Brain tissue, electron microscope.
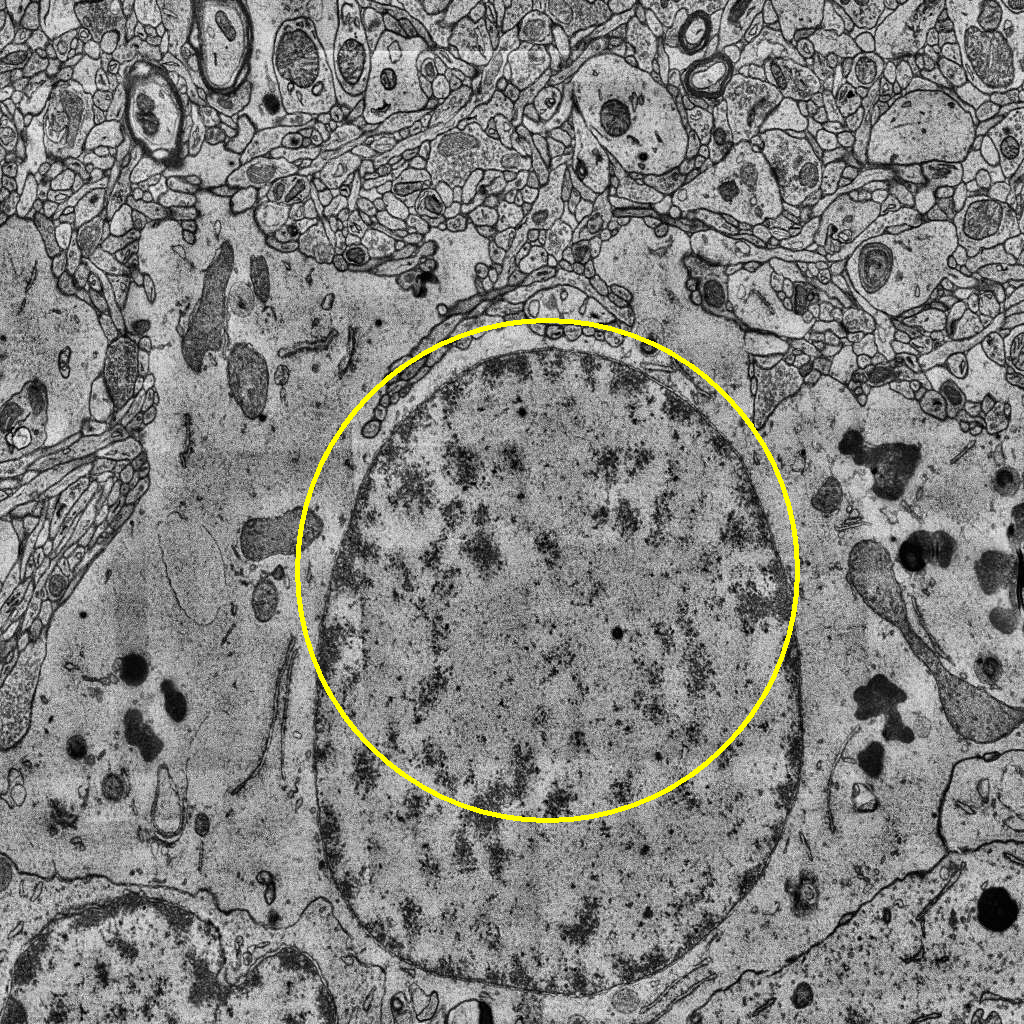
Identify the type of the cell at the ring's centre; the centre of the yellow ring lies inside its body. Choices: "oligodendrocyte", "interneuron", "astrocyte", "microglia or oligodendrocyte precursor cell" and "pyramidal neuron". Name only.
astrocyte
